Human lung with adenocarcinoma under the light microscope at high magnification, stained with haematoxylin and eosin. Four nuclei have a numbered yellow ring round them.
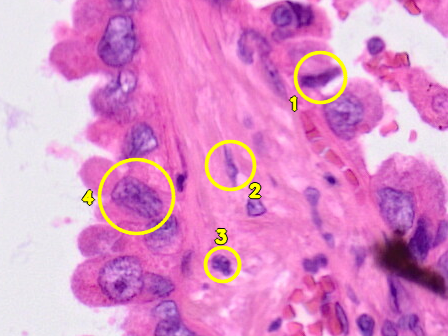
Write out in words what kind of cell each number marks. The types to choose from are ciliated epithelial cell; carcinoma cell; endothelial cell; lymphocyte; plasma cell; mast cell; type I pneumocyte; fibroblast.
Cells 1 and 4 are carcinoma cells. Cell 2 is a fibroblast. Cell 3 is a lymphocyte.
